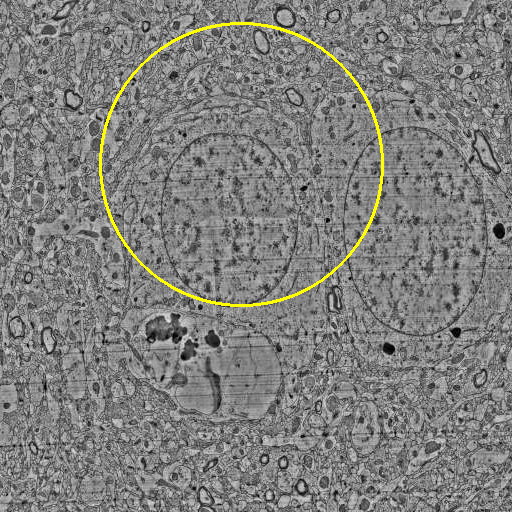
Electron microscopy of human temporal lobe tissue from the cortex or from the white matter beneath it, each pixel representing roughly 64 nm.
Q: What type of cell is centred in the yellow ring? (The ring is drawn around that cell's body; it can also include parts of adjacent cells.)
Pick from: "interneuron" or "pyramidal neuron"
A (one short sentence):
The yellow ring is centred on a pyramidal neuron.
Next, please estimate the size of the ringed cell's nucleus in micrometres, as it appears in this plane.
In this plane, roughly 11 by 9 micrometres.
